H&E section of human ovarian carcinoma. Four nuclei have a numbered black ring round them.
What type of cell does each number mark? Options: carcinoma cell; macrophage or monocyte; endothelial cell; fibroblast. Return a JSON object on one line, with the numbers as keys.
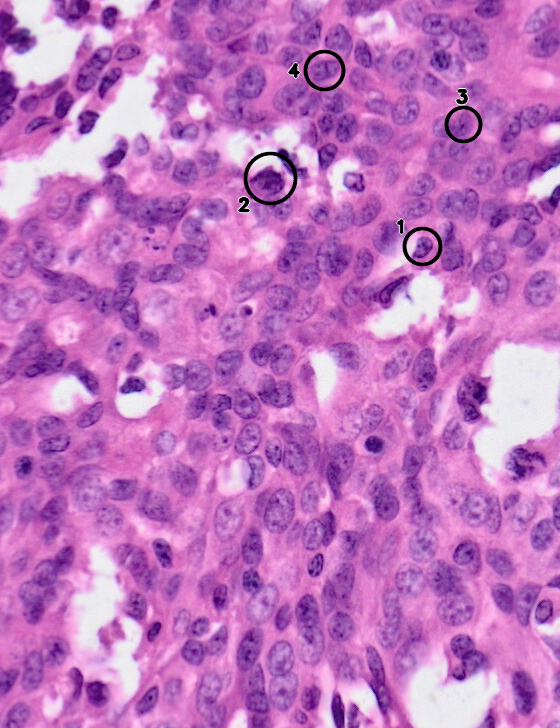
{"1": "macrophage or monocyte", "2": "carcinoma cell", "3": "carcinoma cell", "4": "carcinoma cell"}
